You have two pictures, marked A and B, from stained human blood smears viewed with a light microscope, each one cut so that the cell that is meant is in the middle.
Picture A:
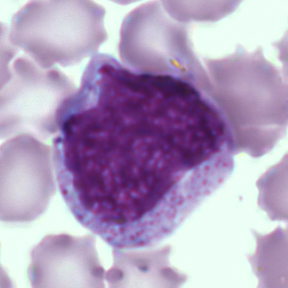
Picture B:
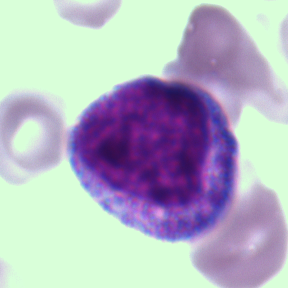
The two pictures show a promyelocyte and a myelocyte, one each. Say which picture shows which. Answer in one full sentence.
It is picture A that shows a myelocyte, and picture B that shows a promyelocyte.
